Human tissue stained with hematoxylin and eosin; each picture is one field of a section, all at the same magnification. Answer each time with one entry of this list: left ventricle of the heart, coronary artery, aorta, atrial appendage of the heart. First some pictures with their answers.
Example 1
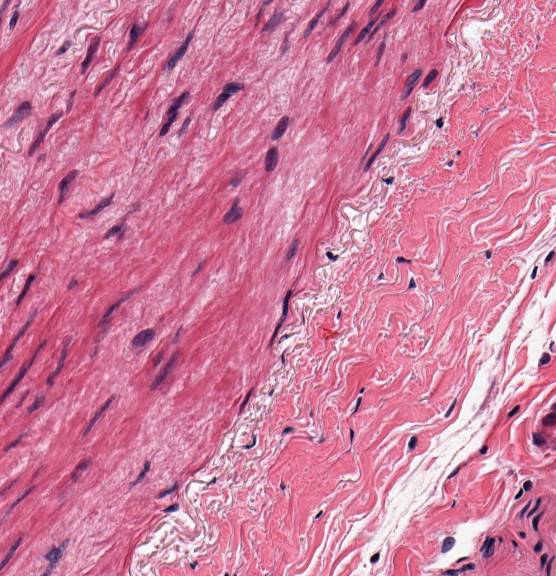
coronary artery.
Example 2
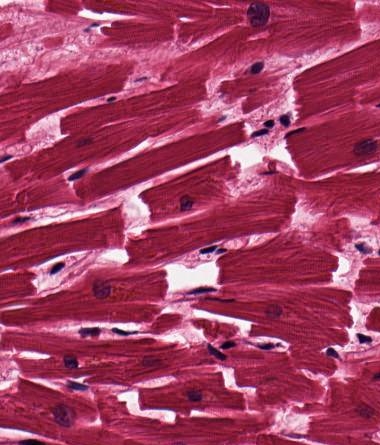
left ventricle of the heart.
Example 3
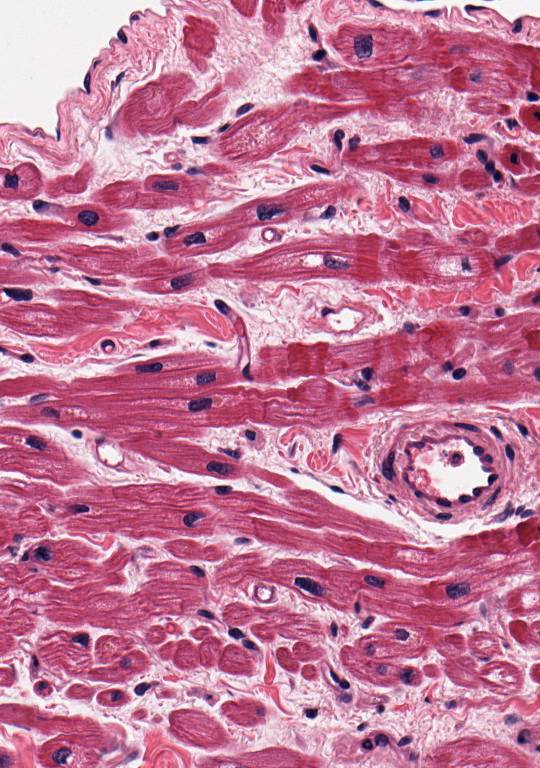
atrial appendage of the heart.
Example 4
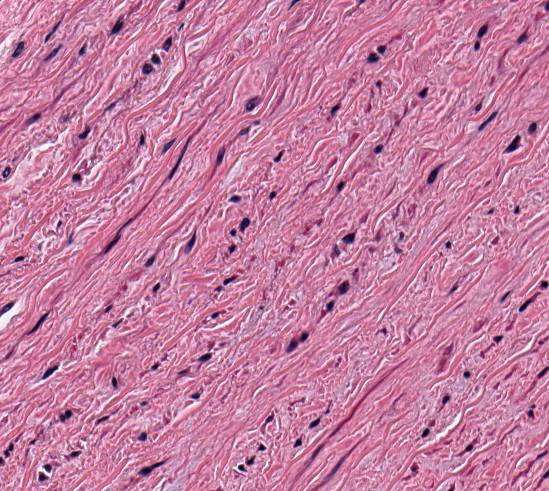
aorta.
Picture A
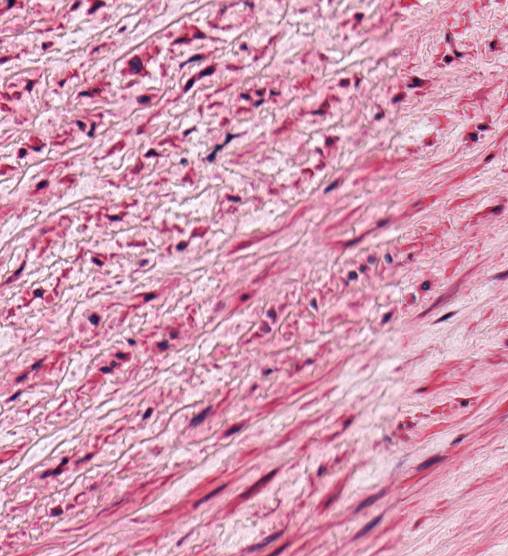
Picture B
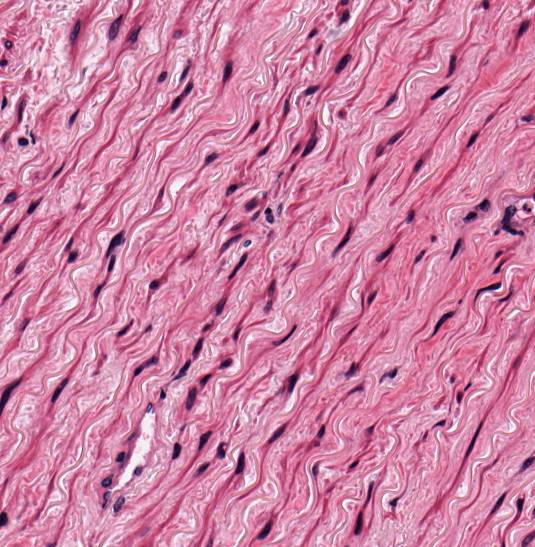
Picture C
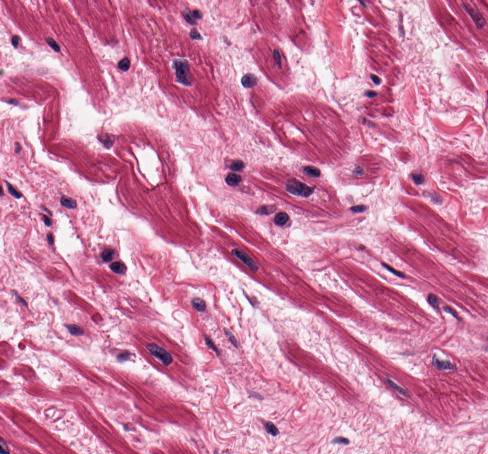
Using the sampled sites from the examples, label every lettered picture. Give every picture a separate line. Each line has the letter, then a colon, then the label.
A: aorta.
B: aorta.
C: atrial appendage of the heart.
